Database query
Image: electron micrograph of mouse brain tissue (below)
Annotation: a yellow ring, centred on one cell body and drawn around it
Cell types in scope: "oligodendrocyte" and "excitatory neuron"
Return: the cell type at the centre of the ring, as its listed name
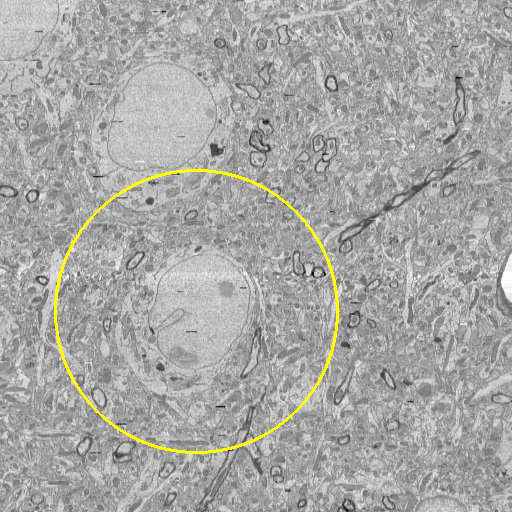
excitatory neuron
